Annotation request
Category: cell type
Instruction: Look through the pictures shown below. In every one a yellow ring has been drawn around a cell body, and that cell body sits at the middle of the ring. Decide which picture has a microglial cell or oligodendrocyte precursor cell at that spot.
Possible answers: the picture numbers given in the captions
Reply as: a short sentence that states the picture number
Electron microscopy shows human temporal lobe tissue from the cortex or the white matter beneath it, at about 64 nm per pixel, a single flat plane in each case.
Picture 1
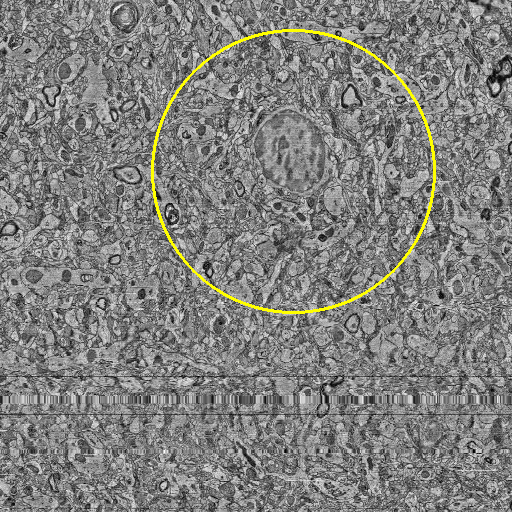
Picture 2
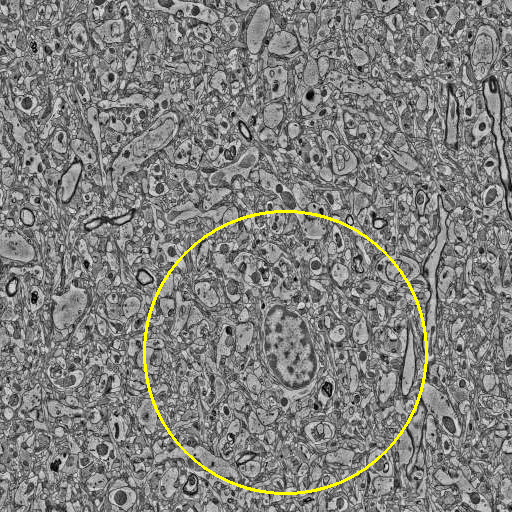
It is in Picture 2.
